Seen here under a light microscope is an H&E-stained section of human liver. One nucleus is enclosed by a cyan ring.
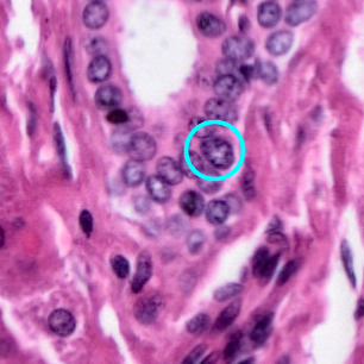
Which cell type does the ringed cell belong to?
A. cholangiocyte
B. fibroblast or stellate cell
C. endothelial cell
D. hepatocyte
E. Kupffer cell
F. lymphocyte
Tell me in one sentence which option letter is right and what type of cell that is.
Hey, it is option A: the ringed cell is a cholangiocyte.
